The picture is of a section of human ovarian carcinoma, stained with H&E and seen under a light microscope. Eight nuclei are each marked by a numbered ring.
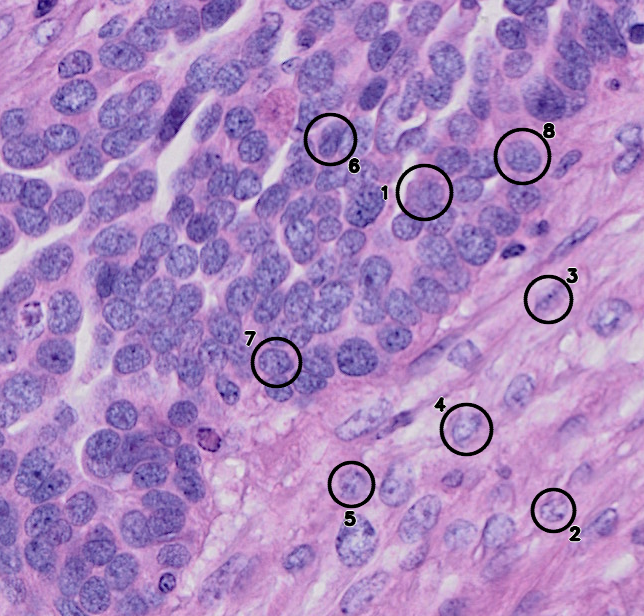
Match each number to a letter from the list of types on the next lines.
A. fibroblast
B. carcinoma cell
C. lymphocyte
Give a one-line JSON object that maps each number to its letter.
{"1": "B", "2": "A", "3": "A", "4": "A", "5": "A", "6": "B", "7": "B", "8": "B"}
